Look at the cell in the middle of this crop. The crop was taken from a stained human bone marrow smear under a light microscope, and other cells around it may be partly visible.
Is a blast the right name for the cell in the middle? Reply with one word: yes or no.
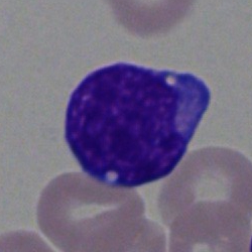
yes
